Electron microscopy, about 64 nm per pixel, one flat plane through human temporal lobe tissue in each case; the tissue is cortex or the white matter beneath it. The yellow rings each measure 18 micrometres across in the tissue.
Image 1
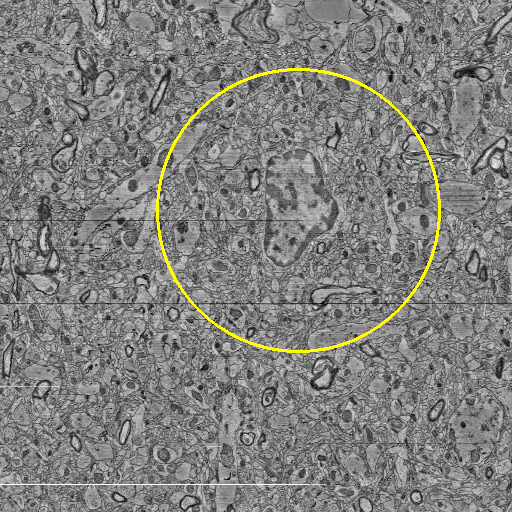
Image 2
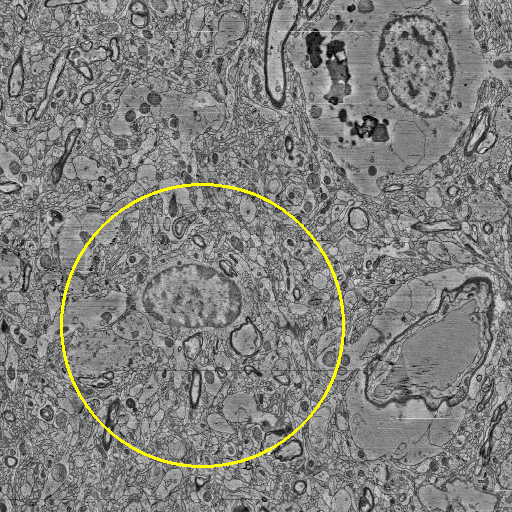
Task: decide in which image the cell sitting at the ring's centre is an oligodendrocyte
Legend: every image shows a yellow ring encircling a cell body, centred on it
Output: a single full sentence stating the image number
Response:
In image 2, the cell at the middle of the ring is the match.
